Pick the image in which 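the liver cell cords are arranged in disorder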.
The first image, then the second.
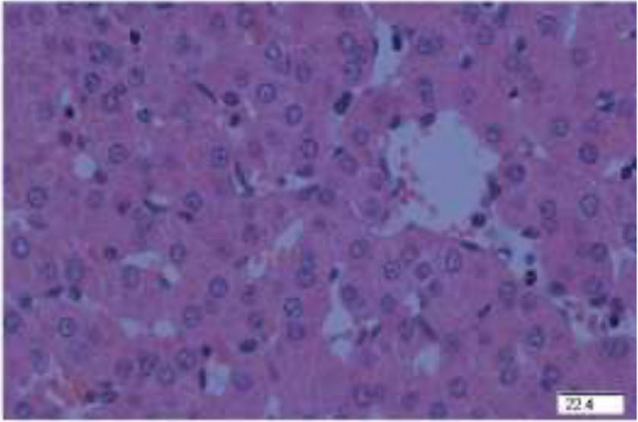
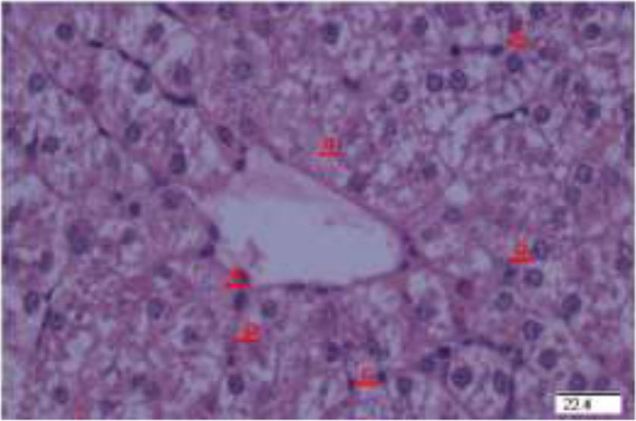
The second image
